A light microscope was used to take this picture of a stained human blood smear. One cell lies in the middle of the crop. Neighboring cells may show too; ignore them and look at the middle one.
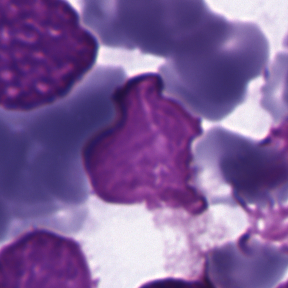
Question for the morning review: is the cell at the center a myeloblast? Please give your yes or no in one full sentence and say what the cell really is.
No, that would be a smudge cell, not a myeloblast, for the cell at the centre.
